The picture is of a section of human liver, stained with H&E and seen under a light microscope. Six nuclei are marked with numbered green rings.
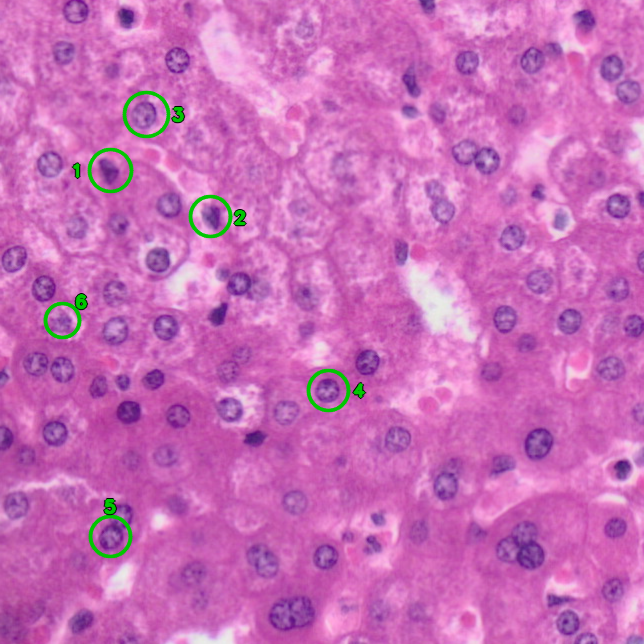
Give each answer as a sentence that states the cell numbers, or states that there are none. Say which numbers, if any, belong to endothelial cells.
The cells referred to by the numbers 1 and 2 are endothelial cells.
